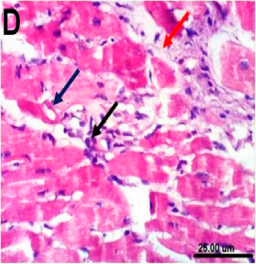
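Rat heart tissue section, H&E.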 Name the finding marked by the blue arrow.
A: Vacuolization of the sarcoplasm of cardiomyocytes.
